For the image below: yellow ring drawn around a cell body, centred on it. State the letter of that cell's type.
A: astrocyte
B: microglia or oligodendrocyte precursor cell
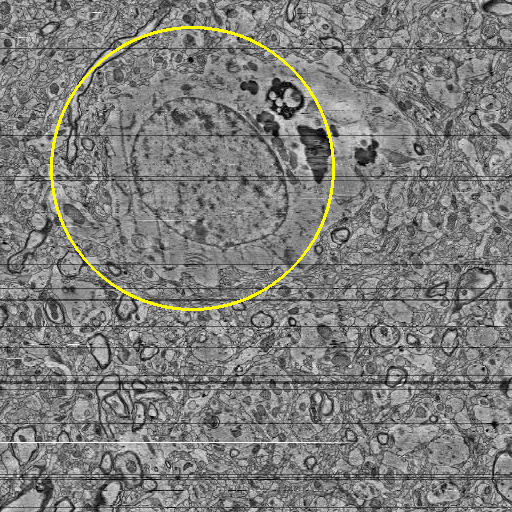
A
